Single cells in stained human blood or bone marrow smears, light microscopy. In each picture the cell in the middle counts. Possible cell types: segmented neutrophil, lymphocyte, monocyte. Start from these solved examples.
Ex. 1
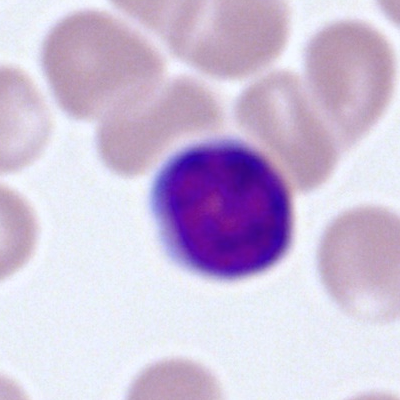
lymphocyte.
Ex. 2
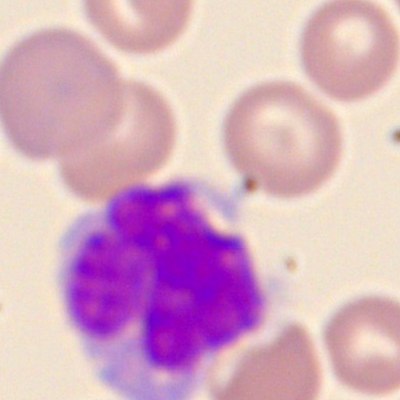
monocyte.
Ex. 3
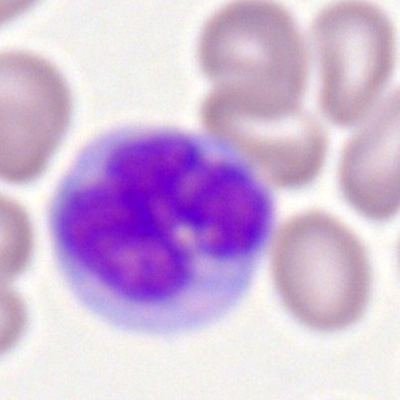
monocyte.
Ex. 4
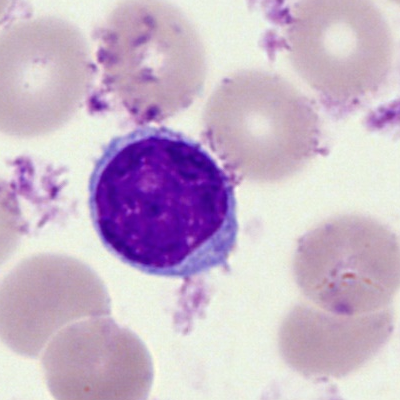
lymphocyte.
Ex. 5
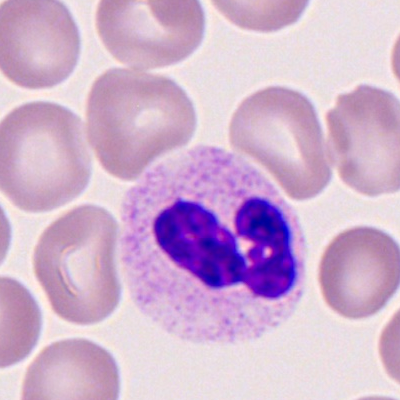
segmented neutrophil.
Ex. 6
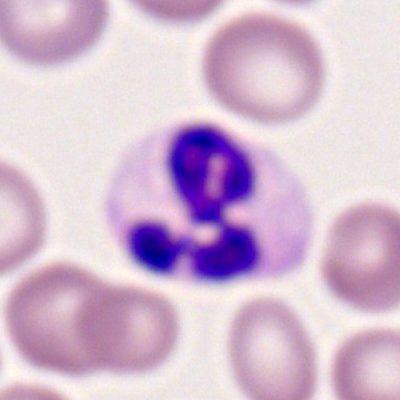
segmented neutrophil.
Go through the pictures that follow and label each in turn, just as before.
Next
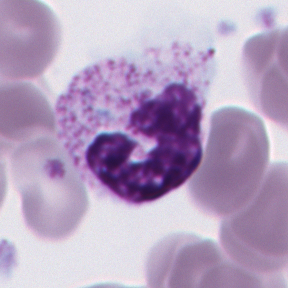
segmented neutrophil.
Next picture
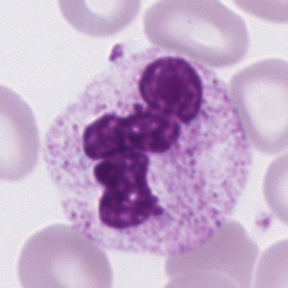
segmented neutrophil.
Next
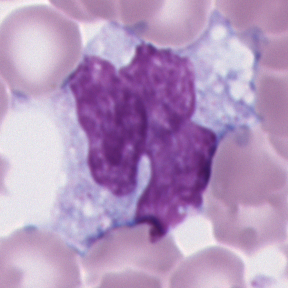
monocyte.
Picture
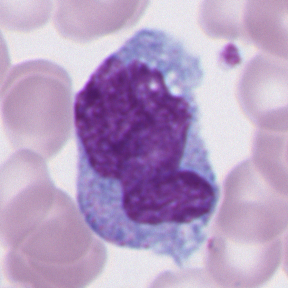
monocyte.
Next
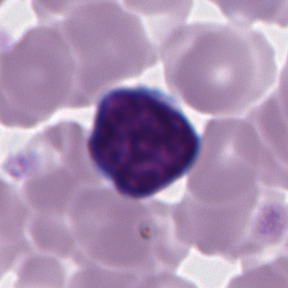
lymphocyte.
